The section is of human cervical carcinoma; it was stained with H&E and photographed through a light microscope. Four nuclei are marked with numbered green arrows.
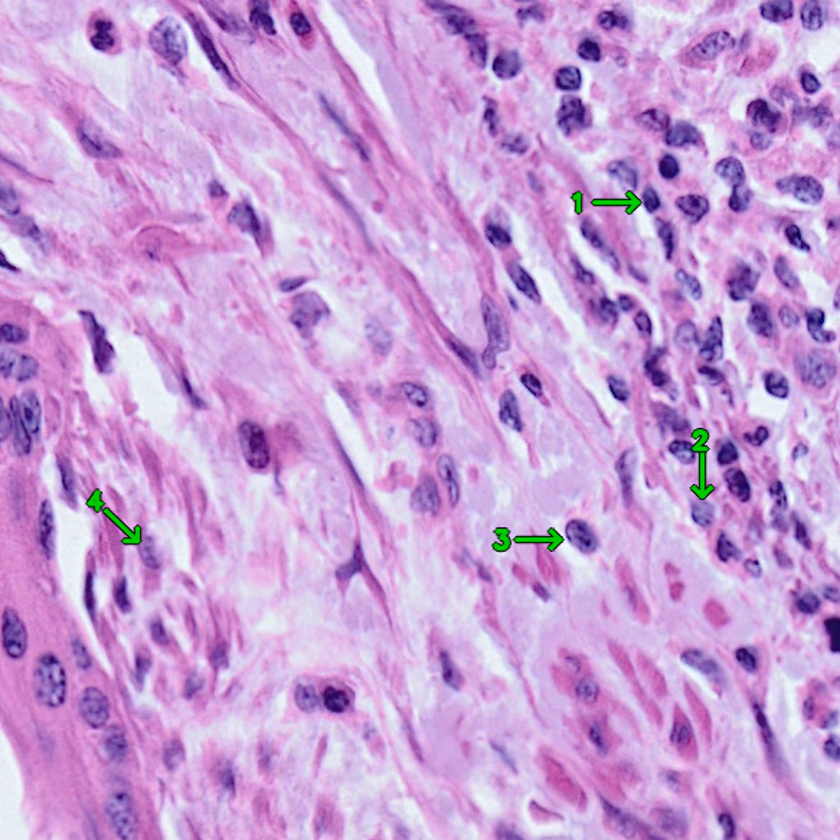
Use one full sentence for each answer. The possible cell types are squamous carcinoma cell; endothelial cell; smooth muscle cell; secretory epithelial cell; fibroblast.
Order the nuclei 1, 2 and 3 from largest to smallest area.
Going from the biggest nucleus down to the smallest gives 3, 2, 1.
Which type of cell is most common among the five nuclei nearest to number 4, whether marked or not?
Fibroblasts make up most of the five nuclei closest to number 4.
